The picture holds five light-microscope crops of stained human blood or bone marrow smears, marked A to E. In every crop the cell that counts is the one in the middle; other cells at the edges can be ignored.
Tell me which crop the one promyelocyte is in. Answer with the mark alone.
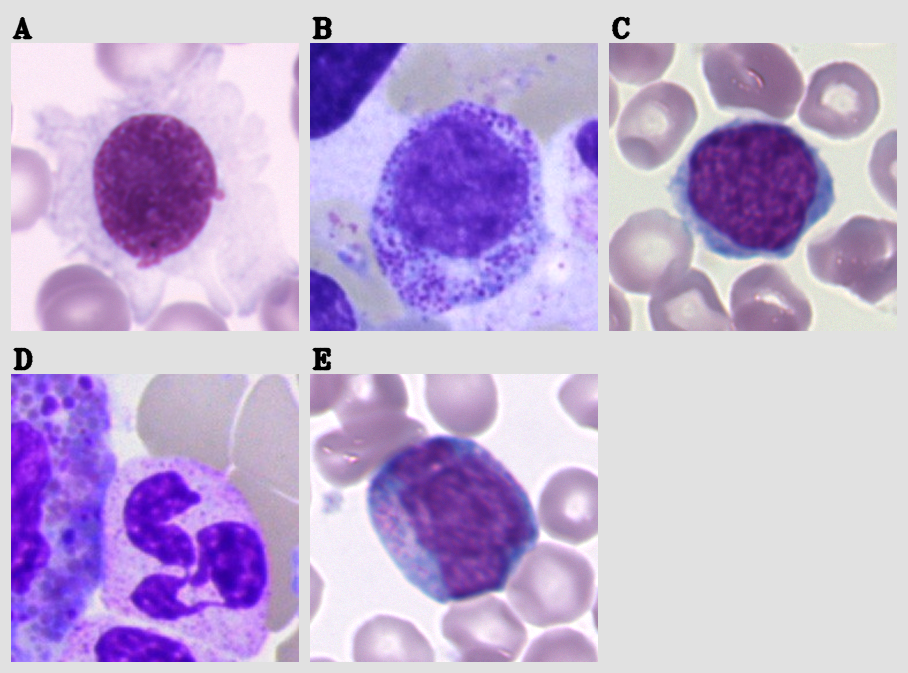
E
